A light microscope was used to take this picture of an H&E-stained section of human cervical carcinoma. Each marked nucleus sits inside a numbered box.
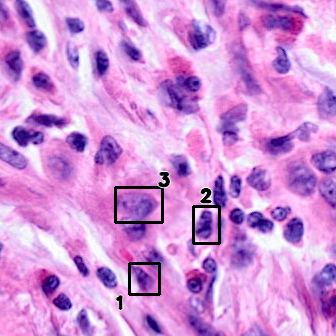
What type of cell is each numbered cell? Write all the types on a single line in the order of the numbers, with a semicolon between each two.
endothelial cell; lymphocyte; endothelial cell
